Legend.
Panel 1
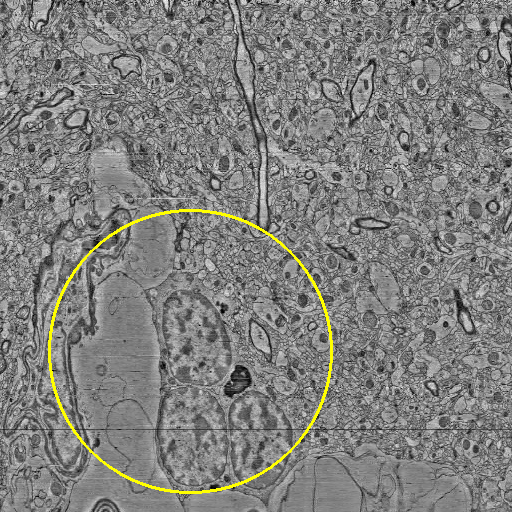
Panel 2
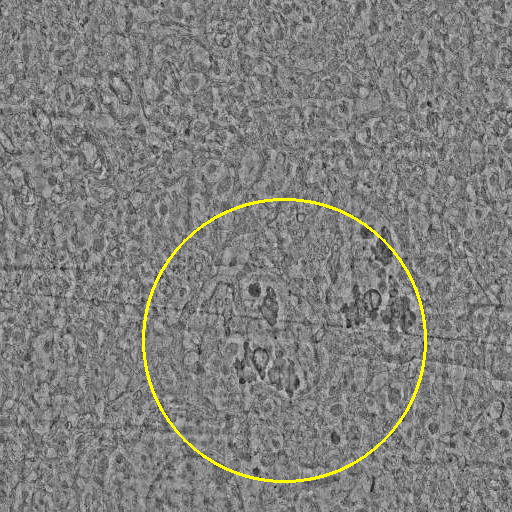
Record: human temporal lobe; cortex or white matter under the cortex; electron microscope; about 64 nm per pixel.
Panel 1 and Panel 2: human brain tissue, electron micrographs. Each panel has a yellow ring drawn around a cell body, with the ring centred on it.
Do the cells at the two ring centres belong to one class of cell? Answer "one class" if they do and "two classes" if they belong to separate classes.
two classes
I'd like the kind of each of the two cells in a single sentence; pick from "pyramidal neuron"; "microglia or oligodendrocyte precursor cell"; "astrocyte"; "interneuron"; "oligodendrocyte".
The first ring marks an oligodendrocyte, and the second ring marks a microglial cell or oligodendrocyte precursor cell.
